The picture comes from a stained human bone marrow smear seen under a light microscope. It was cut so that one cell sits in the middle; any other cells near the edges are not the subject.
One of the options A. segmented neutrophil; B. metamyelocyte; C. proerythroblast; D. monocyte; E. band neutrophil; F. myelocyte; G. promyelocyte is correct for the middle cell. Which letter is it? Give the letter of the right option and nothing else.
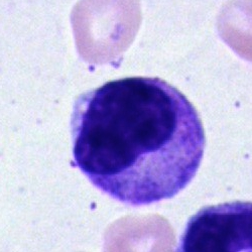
B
